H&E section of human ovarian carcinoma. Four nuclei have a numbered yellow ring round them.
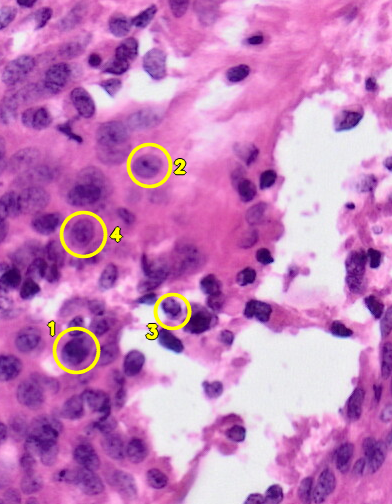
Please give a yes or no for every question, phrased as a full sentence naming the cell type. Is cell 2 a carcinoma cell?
No, cell 2 is correctly identified as a macrophage or monocyte and not as a carcinoma cell.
